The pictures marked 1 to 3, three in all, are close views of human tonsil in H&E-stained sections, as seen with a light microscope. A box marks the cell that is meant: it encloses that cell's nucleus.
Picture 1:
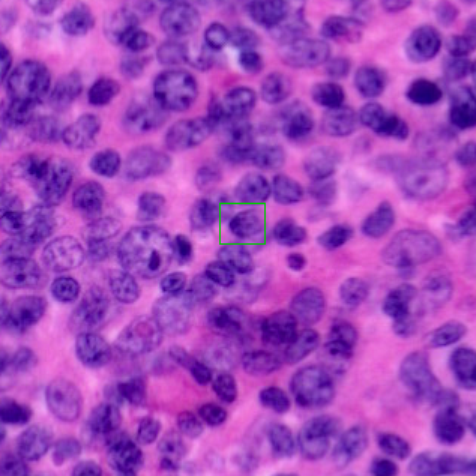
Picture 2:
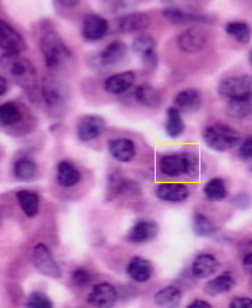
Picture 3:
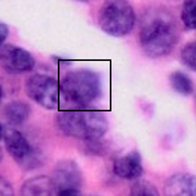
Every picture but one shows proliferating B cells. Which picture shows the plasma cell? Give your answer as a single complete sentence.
Picture 2 is the one that shows the plasma cell.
